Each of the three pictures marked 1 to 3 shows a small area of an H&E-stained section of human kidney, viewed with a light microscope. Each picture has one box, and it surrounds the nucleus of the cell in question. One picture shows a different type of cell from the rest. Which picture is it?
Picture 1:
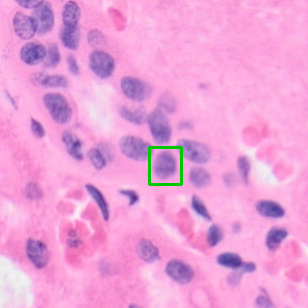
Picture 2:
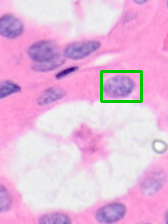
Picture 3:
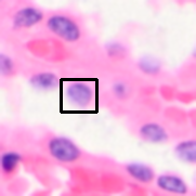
1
